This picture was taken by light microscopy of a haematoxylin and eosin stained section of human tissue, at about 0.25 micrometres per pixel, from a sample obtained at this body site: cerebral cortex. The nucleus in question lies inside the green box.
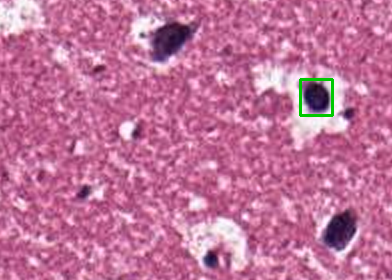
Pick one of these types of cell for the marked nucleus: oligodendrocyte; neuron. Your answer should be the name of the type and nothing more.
oligodendrocyte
